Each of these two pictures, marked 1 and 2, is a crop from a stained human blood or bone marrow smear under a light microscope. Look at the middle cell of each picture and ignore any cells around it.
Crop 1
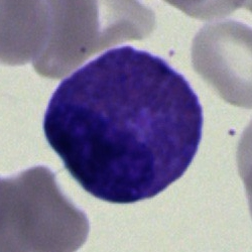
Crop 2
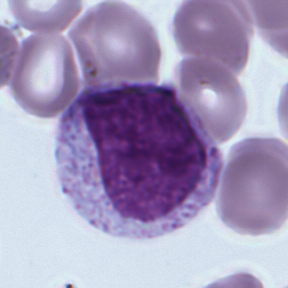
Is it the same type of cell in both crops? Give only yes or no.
no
